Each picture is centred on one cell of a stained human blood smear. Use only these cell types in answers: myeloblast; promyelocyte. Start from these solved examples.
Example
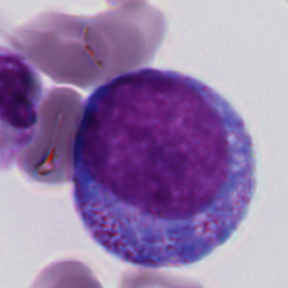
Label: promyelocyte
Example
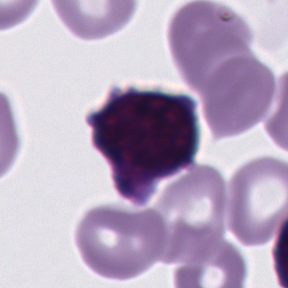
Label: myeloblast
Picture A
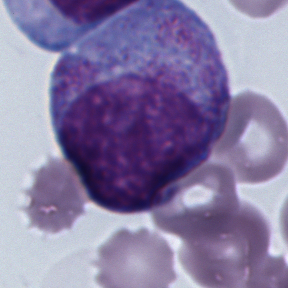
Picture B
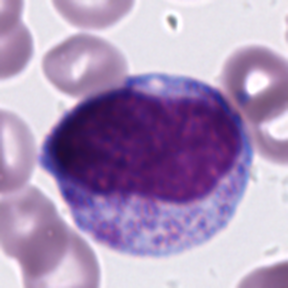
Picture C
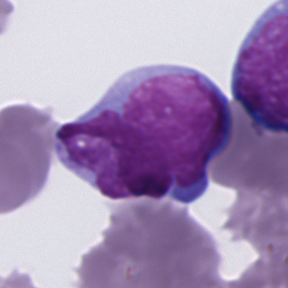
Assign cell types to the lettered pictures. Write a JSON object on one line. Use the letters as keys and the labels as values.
{"A": "promyelocyte", "B": "promyelocyte", "C": "myeloblast"}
